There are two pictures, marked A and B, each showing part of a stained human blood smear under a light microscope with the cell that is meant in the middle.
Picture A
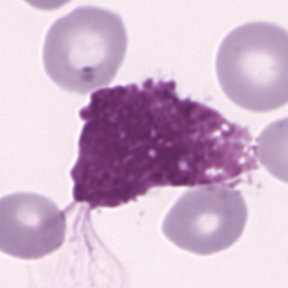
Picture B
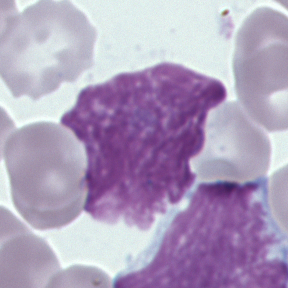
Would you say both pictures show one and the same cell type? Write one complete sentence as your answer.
Yes, the two pictures both show smudge cells.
